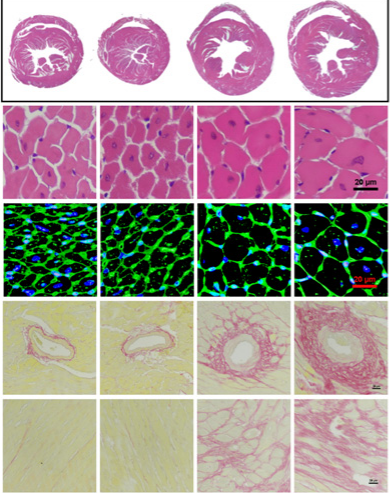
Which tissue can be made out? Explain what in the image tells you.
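The top row shows whole transverse sections with a ring-shaped ventricular wall around a central cavity.
Conclusion: hearts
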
